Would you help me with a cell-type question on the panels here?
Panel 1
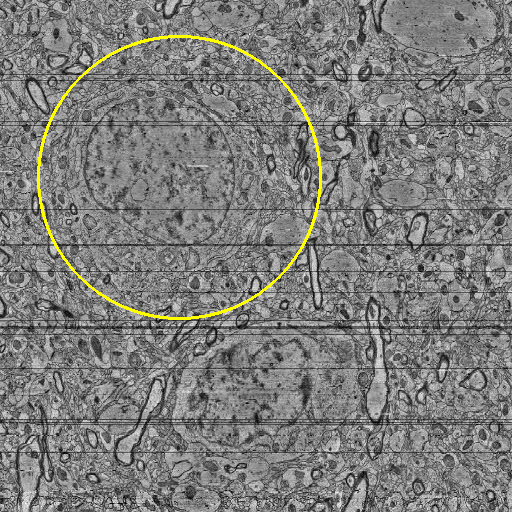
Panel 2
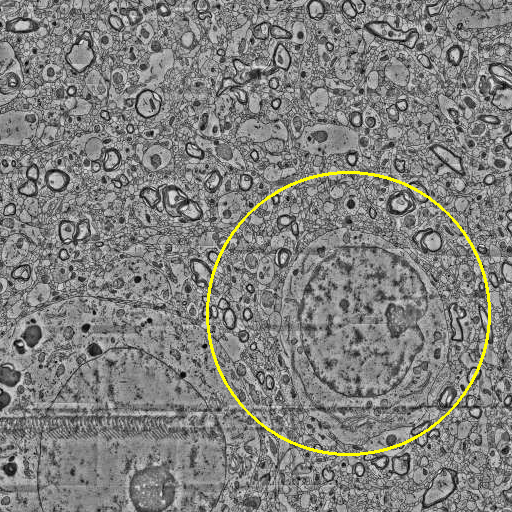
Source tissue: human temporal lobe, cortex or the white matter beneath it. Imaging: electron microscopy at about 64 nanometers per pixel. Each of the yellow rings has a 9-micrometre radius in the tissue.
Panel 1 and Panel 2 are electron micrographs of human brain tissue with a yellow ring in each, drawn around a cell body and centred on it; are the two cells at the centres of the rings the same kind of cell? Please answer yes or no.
yes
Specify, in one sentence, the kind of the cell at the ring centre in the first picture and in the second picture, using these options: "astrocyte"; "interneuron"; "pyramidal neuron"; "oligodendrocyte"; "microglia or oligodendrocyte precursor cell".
Each of the two cells is an interneuron.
